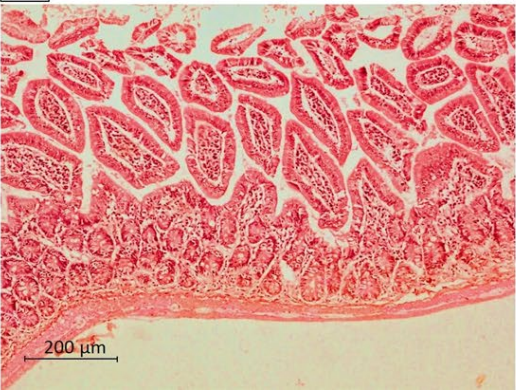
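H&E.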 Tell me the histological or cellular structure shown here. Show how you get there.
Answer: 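Villus. Many elongated finger-like projections extend into the lumen. Each projection has a cellular core covered by a single epithelial layer.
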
